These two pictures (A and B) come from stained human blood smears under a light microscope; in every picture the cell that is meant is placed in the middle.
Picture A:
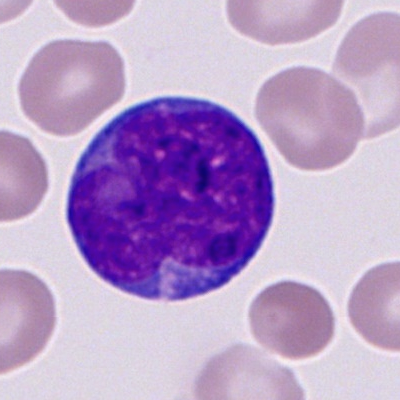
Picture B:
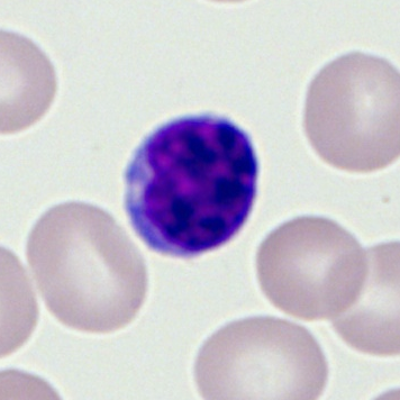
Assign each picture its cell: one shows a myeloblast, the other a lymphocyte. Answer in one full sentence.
Picture A is of a myeloblast, and picture B is of a lymphocyte.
